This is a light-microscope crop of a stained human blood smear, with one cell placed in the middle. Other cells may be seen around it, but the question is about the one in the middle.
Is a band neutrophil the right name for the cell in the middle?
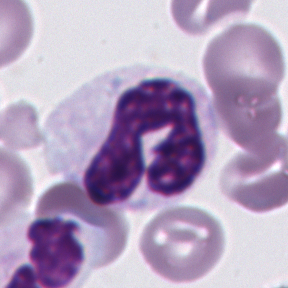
yes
